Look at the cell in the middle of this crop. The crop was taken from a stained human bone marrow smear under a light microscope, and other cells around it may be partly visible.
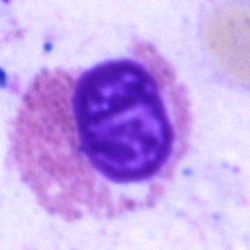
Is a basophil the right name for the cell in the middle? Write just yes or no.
yes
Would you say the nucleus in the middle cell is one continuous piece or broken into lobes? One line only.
The nucleus is one compact mass, round, oval or kidney-shaped in outline.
